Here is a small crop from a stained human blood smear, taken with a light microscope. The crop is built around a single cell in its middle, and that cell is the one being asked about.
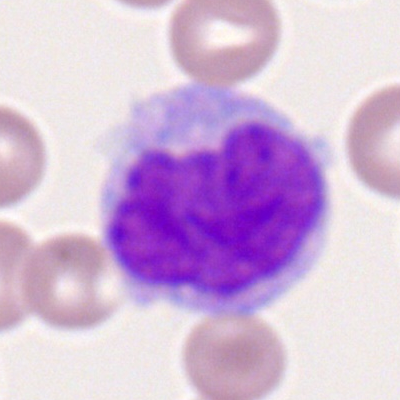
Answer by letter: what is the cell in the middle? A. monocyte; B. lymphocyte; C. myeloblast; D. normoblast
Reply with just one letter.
A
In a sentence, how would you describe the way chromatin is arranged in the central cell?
The chromatin shows a fine pattern without coarse clumps.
